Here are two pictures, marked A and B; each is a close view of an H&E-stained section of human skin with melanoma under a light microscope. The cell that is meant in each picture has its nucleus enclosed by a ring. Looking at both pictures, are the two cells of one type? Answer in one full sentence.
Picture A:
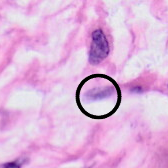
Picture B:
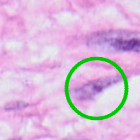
Yes; the cells in both pictures are “fibroblasts or myofibroblasts”.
